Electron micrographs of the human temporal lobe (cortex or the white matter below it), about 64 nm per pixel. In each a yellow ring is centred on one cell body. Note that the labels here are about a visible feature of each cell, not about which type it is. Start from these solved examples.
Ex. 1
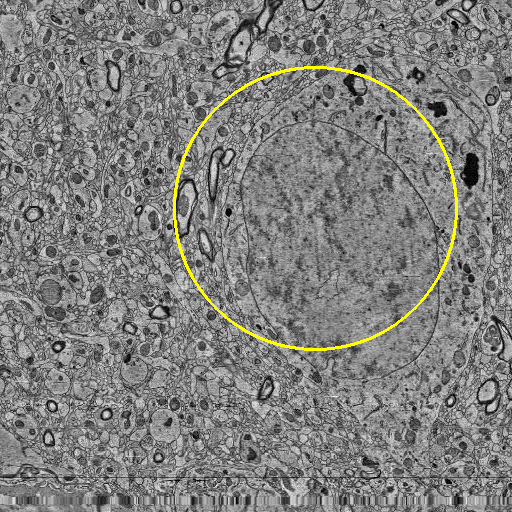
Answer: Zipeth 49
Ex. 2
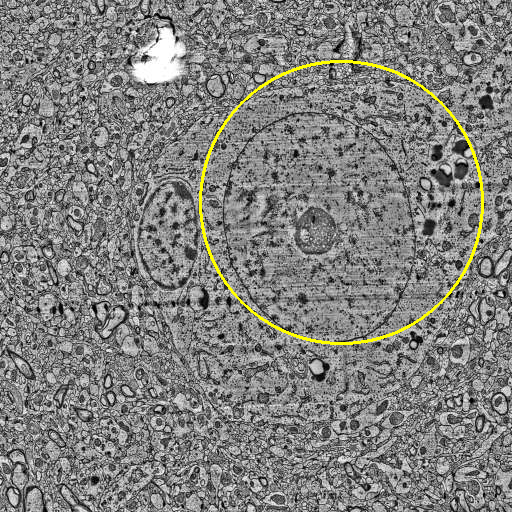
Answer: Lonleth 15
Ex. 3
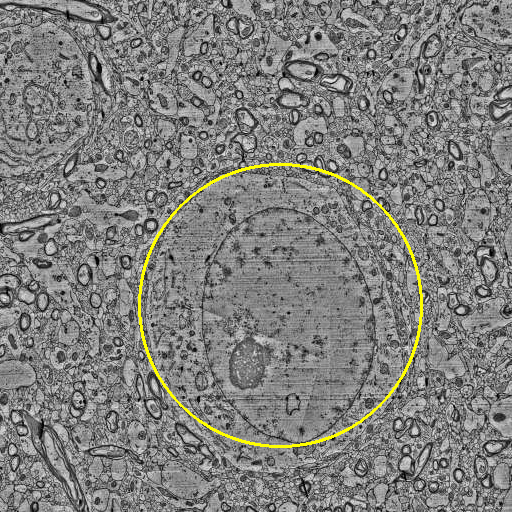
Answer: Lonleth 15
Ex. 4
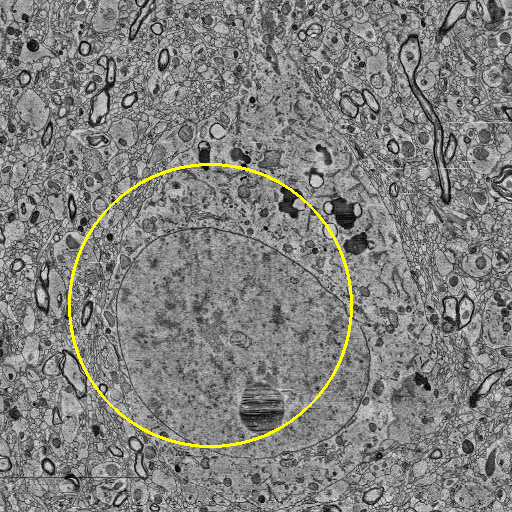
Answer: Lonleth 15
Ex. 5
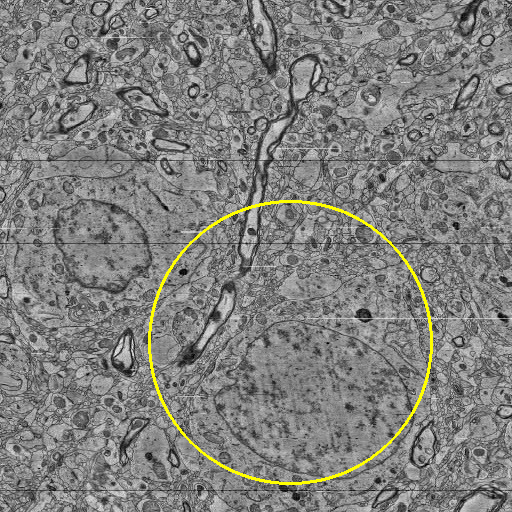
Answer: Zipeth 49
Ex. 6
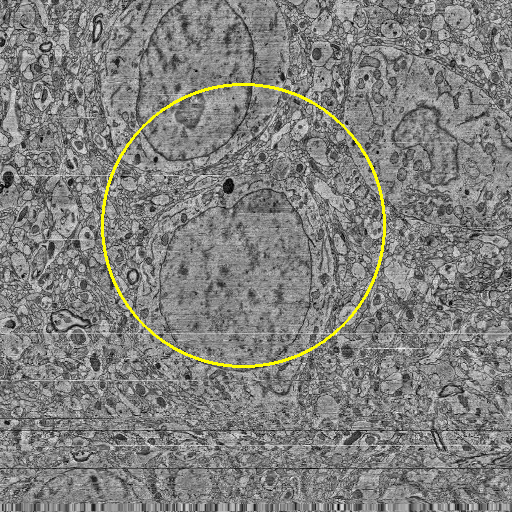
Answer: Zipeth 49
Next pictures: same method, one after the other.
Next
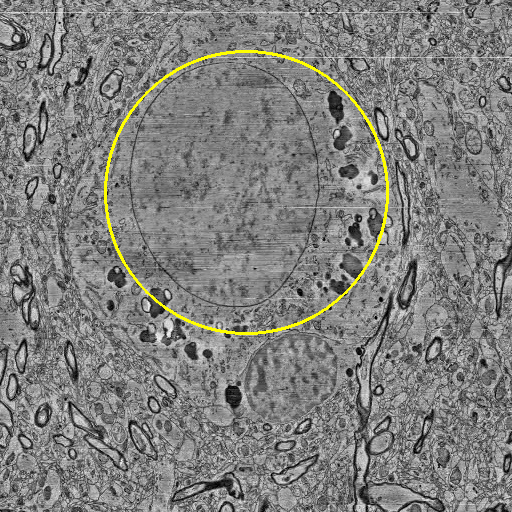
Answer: Zipeth 49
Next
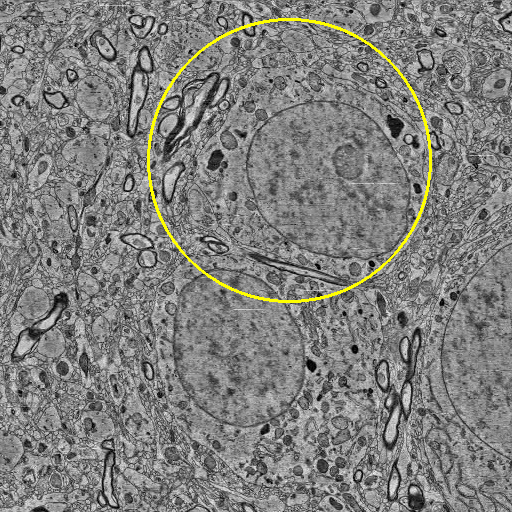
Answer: Lonleth 15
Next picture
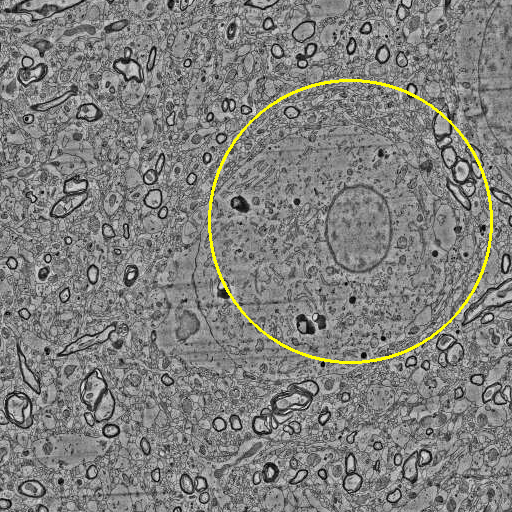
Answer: Zipeth 49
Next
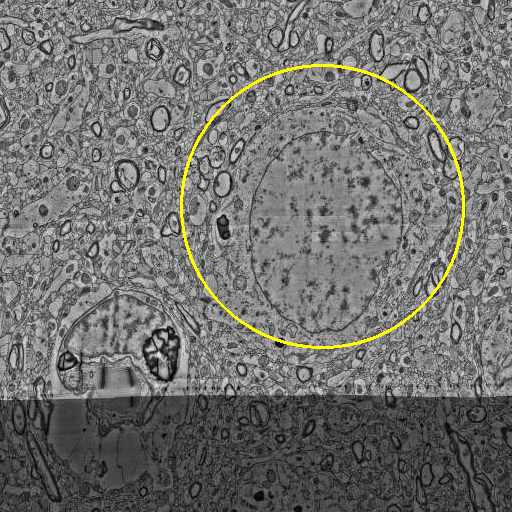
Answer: Zipeth 49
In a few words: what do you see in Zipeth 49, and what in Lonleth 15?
In Zipeth 49: no nucleolus seen. In Lonleth 15: nucleolus seen.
